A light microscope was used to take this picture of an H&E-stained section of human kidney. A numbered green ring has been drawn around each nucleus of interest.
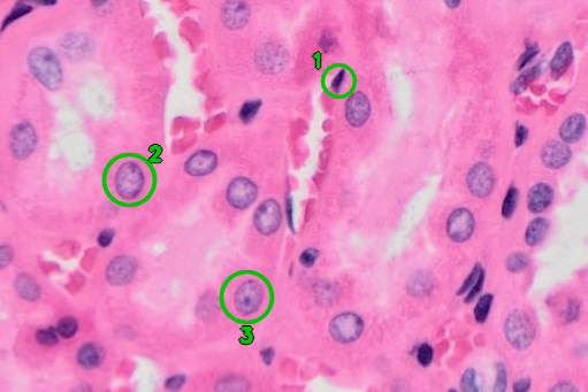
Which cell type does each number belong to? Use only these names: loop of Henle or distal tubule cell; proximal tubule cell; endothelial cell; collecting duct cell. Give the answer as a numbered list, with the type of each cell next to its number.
1. endothelial cell
2. proximal tubule cell
3. proximal tubule cell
